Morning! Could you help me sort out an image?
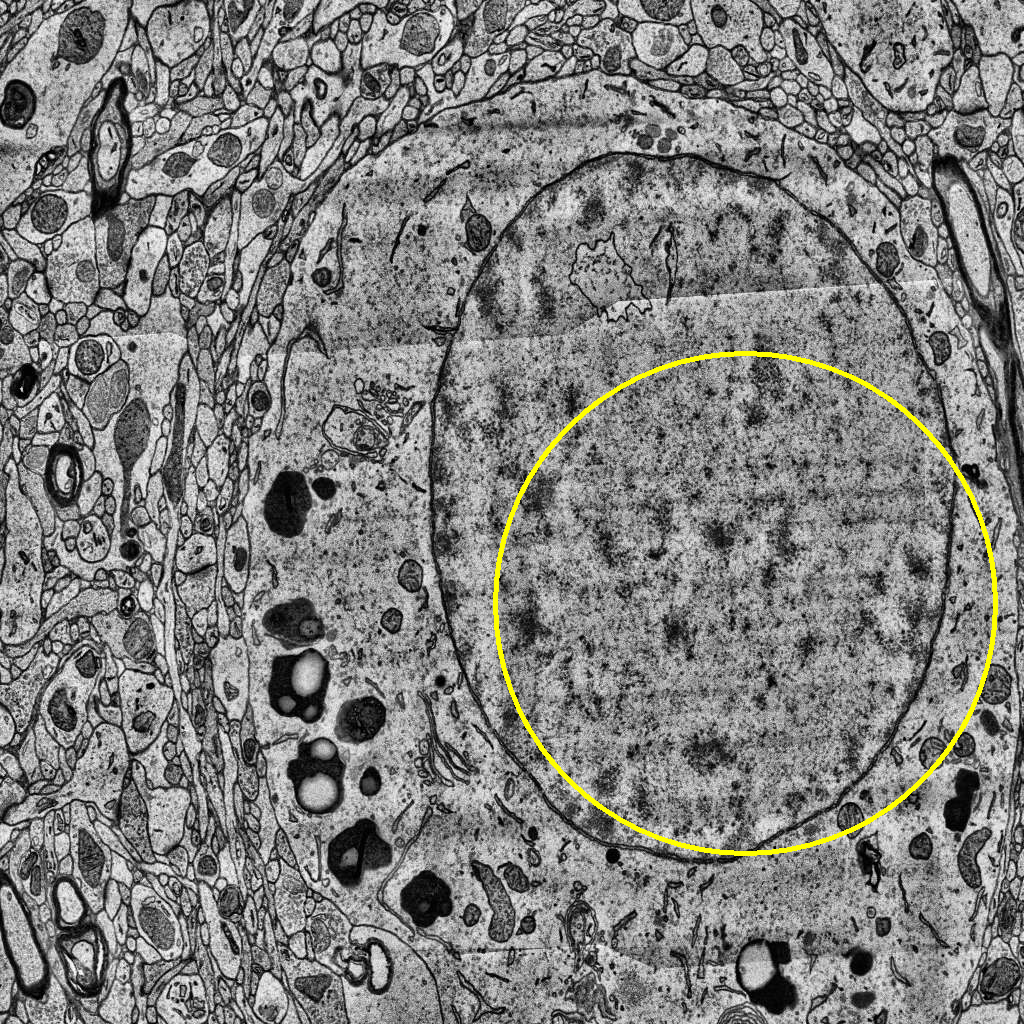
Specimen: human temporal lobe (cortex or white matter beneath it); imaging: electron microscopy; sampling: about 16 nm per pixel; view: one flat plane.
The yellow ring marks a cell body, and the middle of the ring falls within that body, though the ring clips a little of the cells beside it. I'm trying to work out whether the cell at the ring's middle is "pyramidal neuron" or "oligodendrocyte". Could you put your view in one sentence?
The cell body at the ring's middle is that of a pyramidal neuron.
